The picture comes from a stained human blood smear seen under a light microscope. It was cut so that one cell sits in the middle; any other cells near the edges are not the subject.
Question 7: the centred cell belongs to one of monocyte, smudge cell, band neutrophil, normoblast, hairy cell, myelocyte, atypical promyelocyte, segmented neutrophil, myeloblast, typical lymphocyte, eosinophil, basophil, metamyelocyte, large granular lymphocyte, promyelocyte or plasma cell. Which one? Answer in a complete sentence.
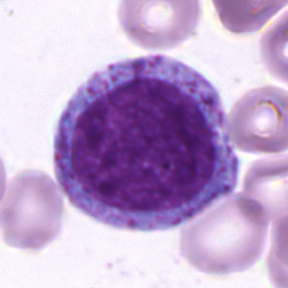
This crop is built around a promyelocyte at its centre.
